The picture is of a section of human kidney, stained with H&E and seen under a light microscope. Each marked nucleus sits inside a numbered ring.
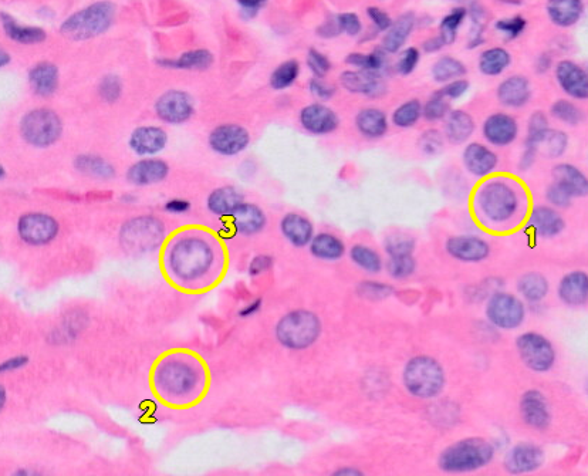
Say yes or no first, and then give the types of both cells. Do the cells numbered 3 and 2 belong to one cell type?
Yes, the cell labelled 3 and the cell labelled 2 are both proximal tubule cells.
